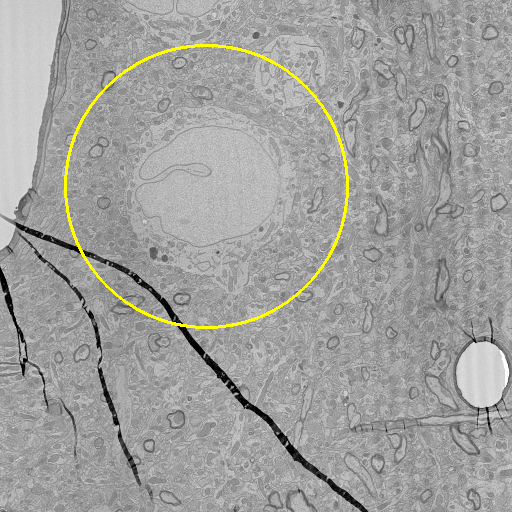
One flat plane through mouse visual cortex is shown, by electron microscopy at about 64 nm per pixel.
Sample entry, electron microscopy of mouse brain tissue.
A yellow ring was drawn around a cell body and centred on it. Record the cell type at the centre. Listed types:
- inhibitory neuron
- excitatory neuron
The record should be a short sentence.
The cell at the ring's centre is an excitatory neuron.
